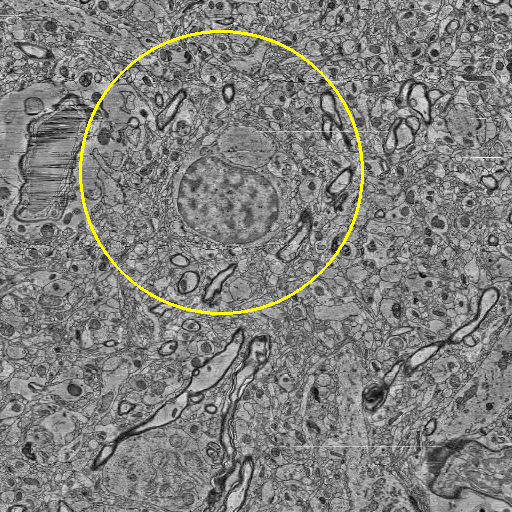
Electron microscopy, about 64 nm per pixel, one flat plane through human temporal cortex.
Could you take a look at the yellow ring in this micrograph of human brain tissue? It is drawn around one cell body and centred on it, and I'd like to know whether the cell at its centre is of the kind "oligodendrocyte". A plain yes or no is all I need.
yes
